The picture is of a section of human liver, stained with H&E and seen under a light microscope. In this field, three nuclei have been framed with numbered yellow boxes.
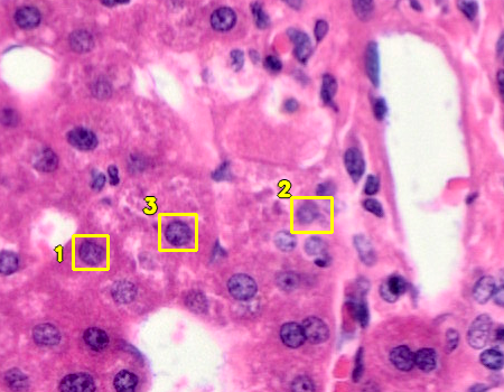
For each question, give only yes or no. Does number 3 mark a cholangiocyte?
no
